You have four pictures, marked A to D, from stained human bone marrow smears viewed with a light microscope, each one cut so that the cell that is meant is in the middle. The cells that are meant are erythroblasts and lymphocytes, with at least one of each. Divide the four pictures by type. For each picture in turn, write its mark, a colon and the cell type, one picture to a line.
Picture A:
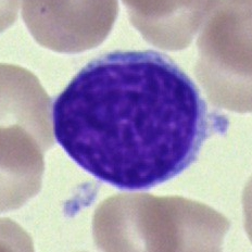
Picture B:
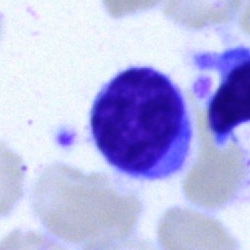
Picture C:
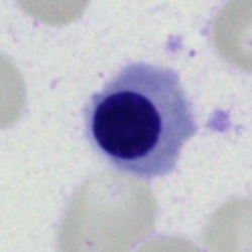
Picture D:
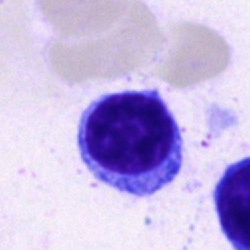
A: lymphocyte
B: lymphocyte
C: erythroblast
D: lymphocyte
